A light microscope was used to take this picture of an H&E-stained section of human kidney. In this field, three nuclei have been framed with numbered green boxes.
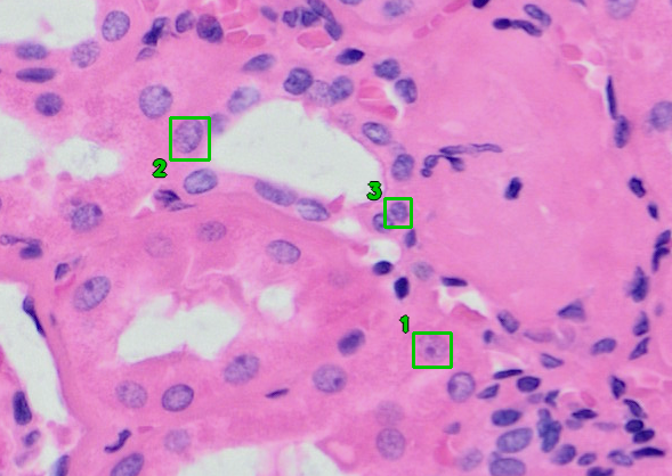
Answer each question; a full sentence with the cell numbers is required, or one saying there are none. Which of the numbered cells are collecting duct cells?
The cells numbered 2 and 3 are typed as collecting duct cells.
